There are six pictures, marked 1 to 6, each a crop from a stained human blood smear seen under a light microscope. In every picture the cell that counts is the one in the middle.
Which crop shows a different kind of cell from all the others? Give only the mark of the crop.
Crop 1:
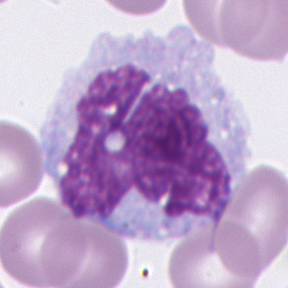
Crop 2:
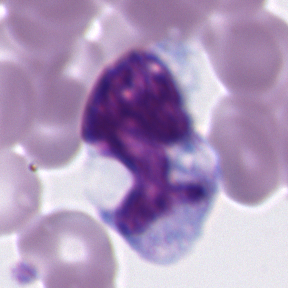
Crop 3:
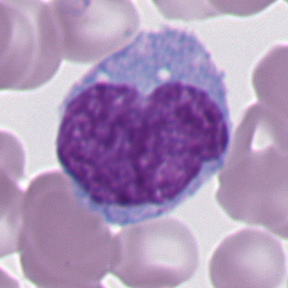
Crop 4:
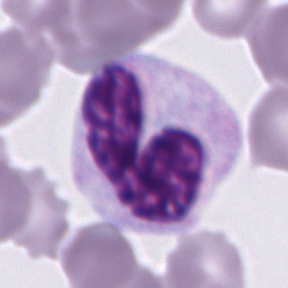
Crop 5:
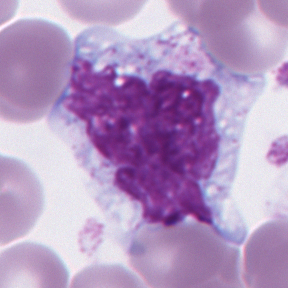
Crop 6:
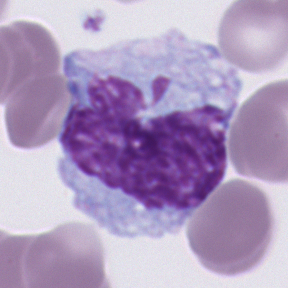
4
